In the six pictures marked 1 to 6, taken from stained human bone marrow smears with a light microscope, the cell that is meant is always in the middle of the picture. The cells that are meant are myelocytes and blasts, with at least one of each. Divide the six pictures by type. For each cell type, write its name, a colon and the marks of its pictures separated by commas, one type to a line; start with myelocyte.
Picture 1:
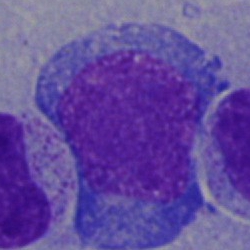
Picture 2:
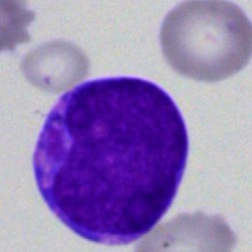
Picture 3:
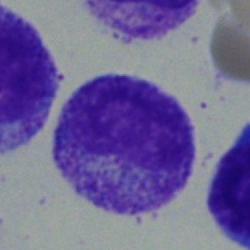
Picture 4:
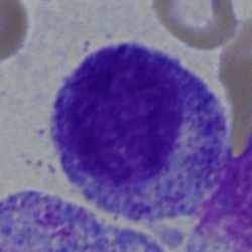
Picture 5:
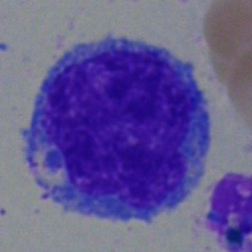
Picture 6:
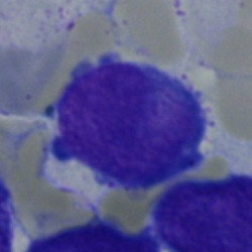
myelocyte: 3, 4
blast: 1, 2, 5, 6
